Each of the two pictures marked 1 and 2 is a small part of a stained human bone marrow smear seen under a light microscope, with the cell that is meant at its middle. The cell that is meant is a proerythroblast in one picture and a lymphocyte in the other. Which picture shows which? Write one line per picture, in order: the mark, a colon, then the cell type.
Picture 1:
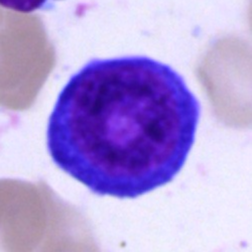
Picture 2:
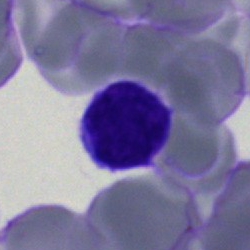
1: proerythroblast
2: lymphocyte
